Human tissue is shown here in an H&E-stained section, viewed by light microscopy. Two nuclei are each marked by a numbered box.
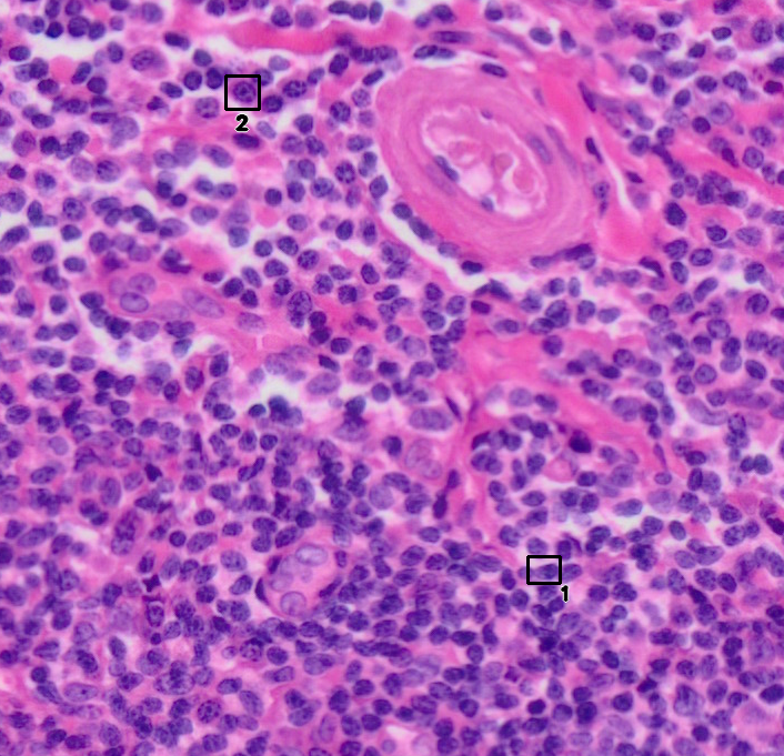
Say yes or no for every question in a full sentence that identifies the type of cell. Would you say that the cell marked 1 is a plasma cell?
No, cell 1 is a small lymphocyte and should not be called a plasma cell.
